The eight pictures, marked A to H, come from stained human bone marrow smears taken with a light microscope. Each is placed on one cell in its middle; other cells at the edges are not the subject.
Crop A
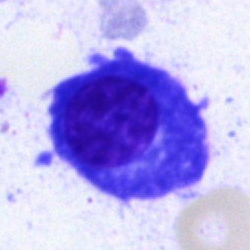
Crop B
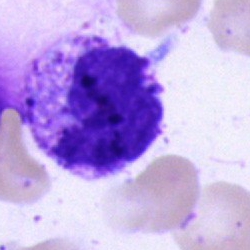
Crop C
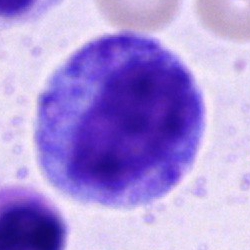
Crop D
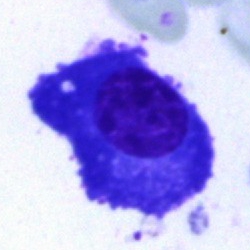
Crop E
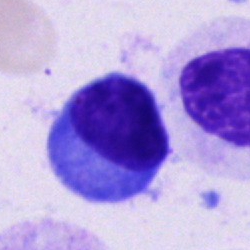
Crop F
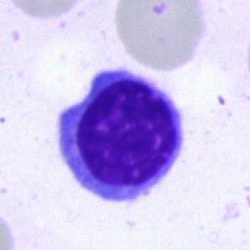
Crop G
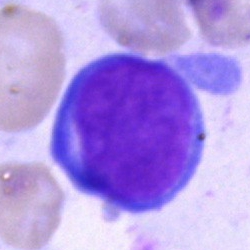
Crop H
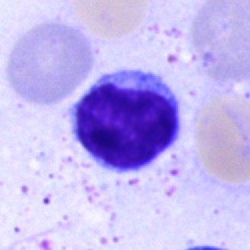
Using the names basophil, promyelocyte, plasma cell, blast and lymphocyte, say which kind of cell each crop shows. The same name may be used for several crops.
A: plasma cell
B: basophil
C: promyelocyte
D: plasma cell
E: plasma cell
F: lymphocyte
G: blast
H: lymphocyte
